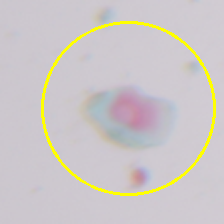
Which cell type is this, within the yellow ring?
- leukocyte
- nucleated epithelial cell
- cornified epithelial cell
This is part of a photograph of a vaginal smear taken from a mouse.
Within the ring is a nucleated epithelial cell.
